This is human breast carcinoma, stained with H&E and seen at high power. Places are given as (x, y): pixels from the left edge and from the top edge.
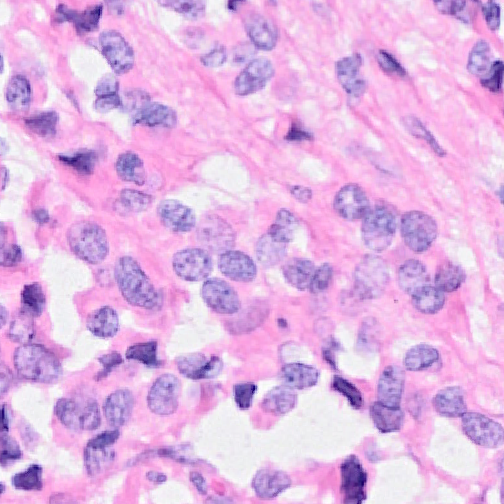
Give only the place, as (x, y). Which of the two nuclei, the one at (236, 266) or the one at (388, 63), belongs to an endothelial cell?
(388, 63)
